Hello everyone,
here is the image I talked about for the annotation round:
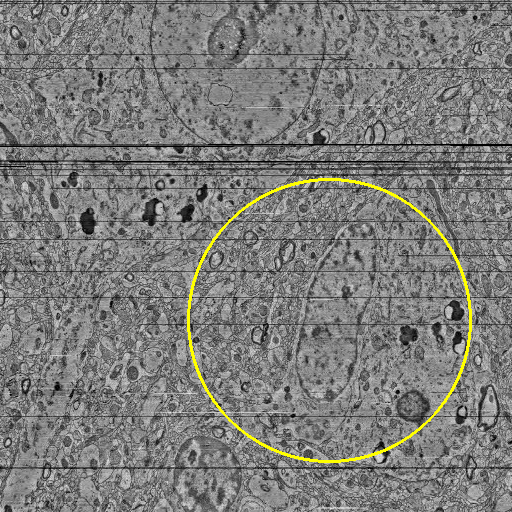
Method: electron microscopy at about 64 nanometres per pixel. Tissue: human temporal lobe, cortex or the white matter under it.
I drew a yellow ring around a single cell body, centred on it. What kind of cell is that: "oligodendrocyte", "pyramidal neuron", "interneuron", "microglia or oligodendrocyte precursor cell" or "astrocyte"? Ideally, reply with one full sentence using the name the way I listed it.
The cell your yellow ring is centred on is a microglial cell or oligodendrocyte precursor cell, going by your list.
